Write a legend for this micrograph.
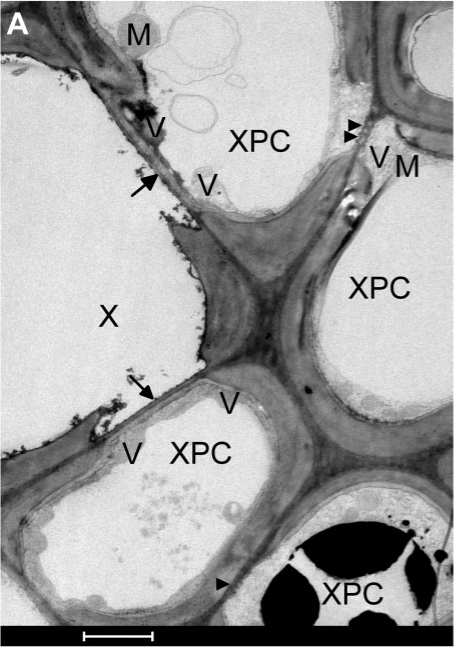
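Vascular tissue with a xylem vessel and surrounding xylem parenchyma cells. The vessel on the left is a large empty lumen without cytoplasm. Several parenchyma cells lie around it, each enclosed by thick, layered walls that meet at a dense junction in the middle. Their cytoplasm forms a thin rim along the wall around large, pale central vacuoles, holding small round mitochondria and vesicles. One cell at the lower right holds large, very dark irregular deposits.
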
